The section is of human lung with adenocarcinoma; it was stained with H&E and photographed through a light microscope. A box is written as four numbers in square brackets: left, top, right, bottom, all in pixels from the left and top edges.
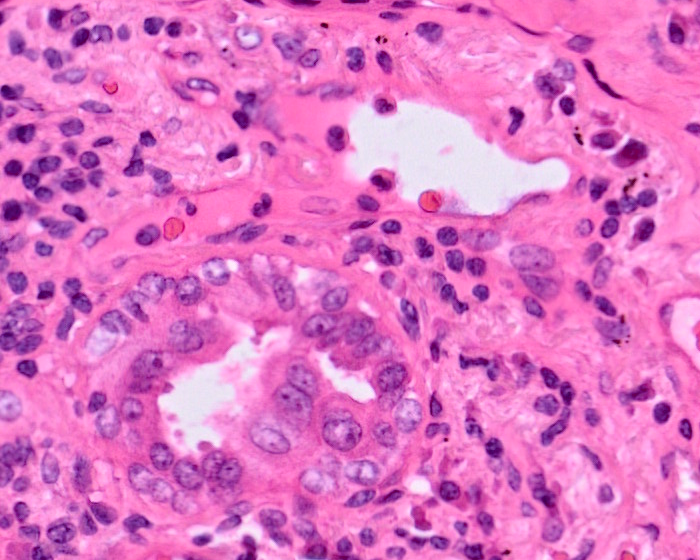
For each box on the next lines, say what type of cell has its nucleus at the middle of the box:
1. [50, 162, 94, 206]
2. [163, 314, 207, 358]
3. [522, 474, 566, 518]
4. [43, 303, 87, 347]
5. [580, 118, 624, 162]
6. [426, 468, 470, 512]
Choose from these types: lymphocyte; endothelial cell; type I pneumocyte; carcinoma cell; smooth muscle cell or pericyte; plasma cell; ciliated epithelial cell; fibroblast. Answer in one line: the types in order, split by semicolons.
lymphocyte; carcinoma cell; plasma cell; lymphocyte; plasma cell; plasma cell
